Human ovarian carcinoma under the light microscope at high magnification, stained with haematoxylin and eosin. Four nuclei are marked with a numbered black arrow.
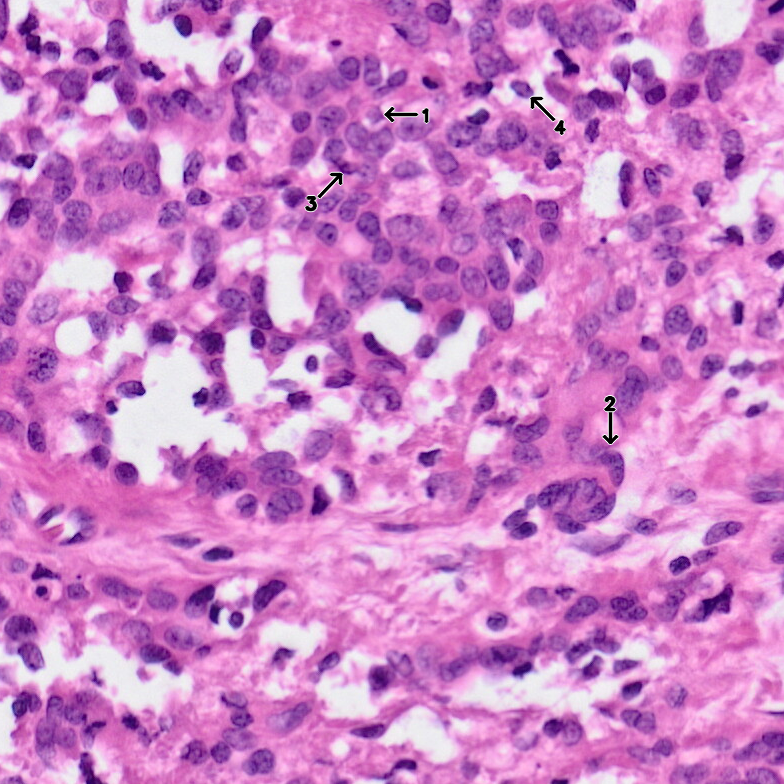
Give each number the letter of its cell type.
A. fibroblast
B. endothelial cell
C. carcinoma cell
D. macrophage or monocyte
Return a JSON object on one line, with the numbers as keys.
{"1": "C", "2": "B", "3": "C", "4": "C"}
